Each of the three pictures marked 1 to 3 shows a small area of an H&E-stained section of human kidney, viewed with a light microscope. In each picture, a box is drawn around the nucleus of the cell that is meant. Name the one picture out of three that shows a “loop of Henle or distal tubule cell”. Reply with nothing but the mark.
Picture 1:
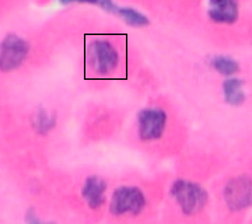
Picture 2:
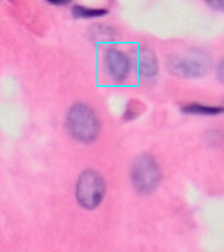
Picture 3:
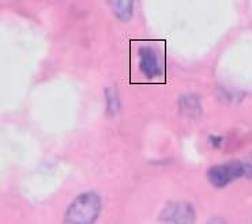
3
